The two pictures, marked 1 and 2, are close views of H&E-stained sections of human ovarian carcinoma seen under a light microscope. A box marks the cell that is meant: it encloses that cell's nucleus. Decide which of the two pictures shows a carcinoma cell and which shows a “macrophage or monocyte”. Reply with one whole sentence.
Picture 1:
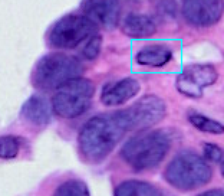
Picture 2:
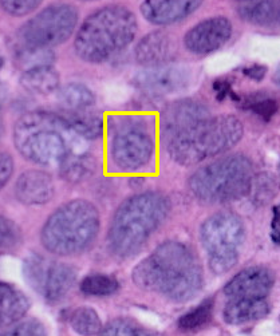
Picture 2 shows a carcinoma cell, while picture 1 shows a “macrophage or monocyte”.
